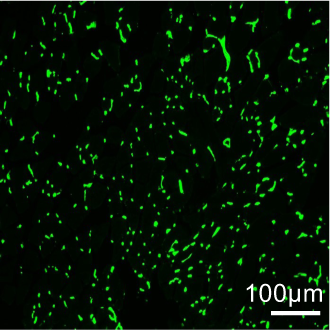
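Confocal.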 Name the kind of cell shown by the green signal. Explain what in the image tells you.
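Green signal outlines many small dot-like and short linear profiles.
Answer: endothelial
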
